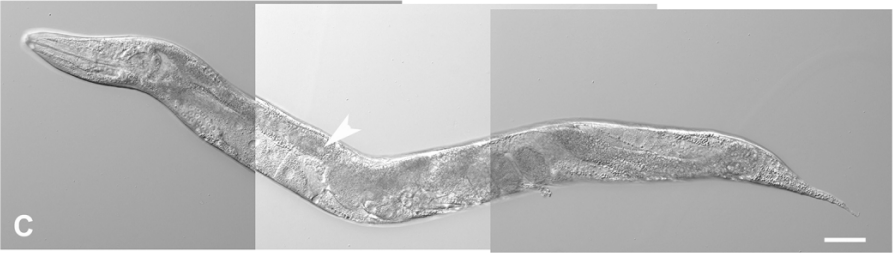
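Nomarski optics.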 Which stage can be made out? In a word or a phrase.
Adult hermaphrodite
